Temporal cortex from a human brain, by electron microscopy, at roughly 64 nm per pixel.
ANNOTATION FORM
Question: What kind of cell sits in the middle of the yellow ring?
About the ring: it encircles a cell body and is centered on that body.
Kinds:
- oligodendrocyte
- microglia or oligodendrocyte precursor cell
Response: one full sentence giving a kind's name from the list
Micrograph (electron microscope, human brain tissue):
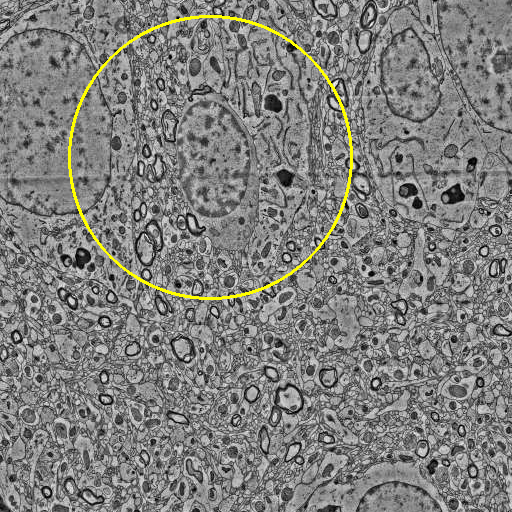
The kind of cell found at the center of the yellow ring in the micrograph is an oligodendrocyte.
